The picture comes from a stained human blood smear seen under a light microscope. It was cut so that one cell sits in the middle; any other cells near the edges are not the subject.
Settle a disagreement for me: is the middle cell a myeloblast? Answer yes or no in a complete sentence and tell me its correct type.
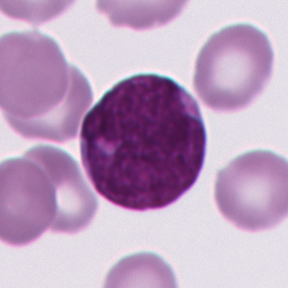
Yes, the cell at the midpoint of the crop is a myeloblast.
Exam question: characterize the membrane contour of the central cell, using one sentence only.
Worth noting that the cell border is smooth and lacks projections.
